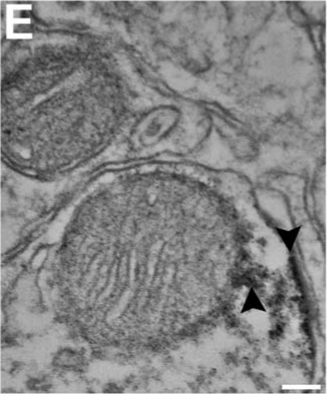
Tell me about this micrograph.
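A large, round mitochondrion sits in the middle of this field, its matrix crossed by many parallel cristae. Dark, granular deposits lie along its outer membrane at the lower right edge. Above it a second mitochondrion, also with cristae, and a small membrane-bound profile lie in the neighbouring cytoplasm. Thin plasma membranes separate the adjoining profiles.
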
